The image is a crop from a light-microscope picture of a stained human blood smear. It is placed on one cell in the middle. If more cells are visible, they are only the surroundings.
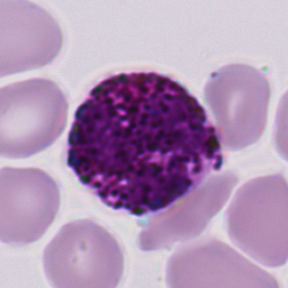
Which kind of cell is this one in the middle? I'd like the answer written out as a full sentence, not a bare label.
Among the cells in view, the one in the middle is a basophil.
